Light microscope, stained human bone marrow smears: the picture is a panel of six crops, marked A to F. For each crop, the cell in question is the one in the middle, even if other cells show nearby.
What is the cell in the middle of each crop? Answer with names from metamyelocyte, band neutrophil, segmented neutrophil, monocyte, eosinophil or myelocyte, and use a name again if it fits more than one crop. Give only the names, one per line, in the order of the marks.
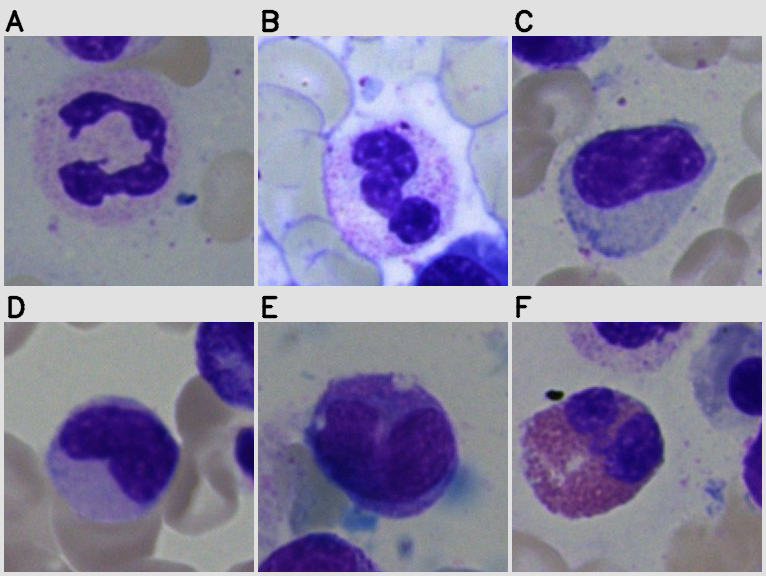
segmented neutrophil
segmented neutrophil
metamyelocyte
band neutrophil
monocyte
eosinophil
